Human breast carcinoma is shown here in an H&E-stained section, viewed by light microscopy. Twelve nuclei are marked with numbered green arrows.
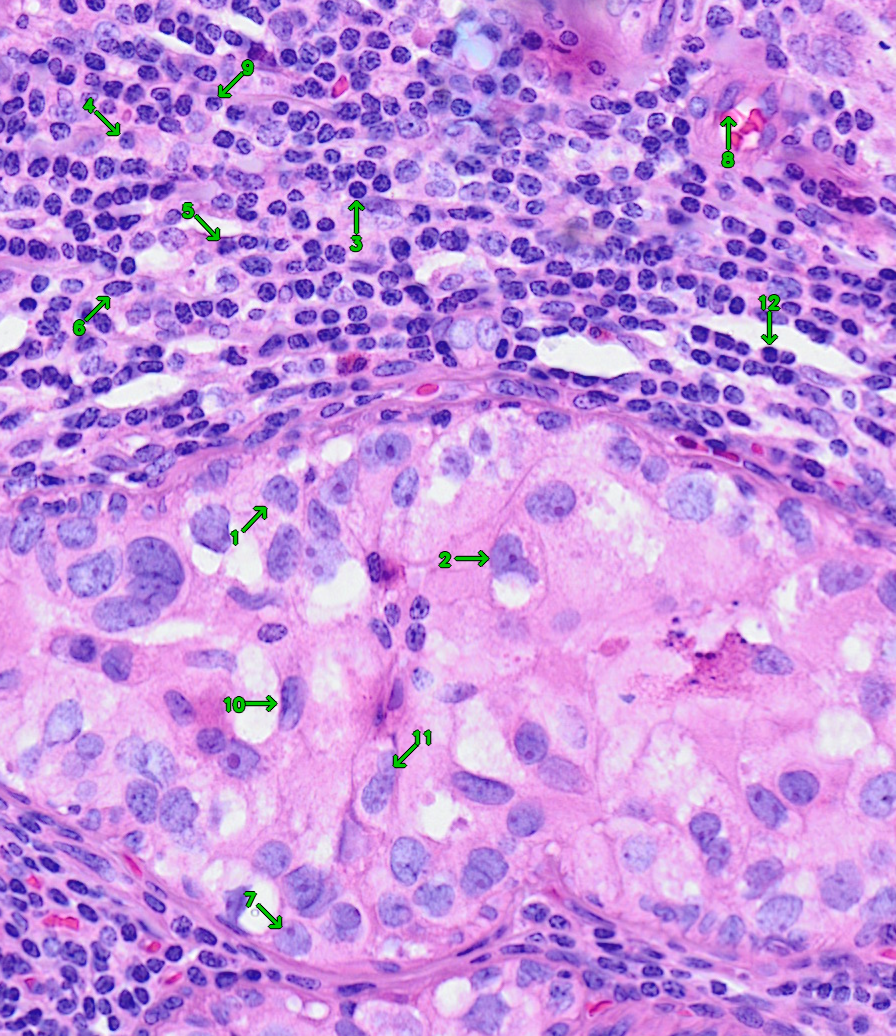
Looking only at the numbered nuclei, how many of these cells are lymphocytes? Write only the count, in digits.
6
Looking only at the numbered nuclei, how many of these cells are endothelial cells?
1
